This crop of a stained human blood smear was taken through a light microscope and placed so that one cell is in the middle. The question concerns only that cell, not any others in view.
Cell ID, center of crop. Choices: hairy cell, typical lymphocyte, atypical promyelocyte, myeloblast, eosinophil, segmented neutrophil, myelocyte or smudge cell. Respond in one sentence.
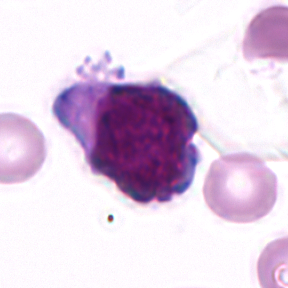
The centrally placed cell is classified as an atypical promyelocyte.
